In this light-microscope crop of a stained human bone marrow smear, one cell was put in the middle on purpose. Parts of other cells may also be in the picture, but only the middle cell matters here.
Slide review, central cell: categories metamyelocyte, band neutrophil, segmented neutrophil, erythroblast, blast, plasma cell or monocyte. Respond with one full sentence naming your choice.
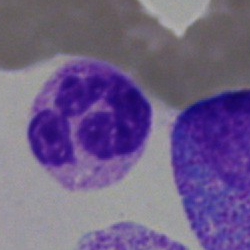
The cell of interest, located centrally, is a segmented neutrophil.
